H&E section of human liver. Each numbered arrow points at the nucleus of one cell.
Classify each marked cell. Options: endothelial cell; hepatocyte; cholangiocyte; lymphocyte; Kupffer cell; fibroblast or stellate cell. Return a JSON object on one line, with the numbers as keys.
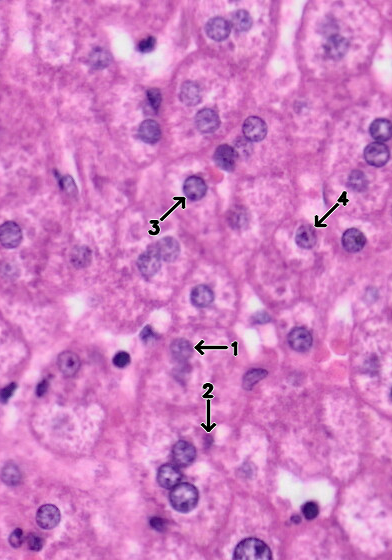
{"1": "hepatocyte", "2": "Kupffer cell", "3": "hepatocyte", "4": "hepatocyte"}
